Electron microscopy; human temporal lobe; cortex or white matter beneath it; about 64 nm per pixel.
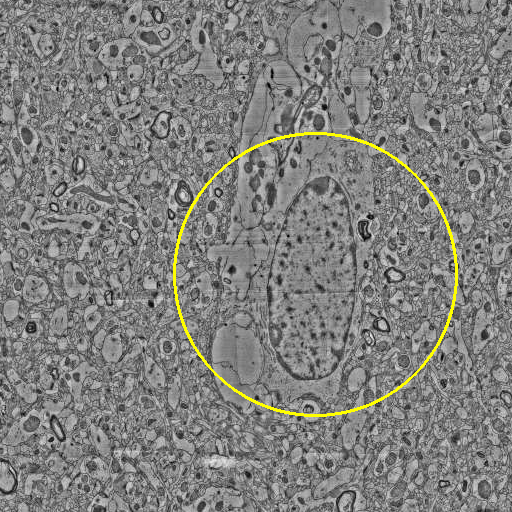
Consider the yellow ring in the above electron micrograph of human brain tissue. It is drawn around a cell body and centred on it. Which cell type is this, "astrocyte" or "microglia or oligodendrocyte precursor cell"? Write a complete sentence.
The cell in question is a microglial cell or oligodendrocyte precursor cell.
